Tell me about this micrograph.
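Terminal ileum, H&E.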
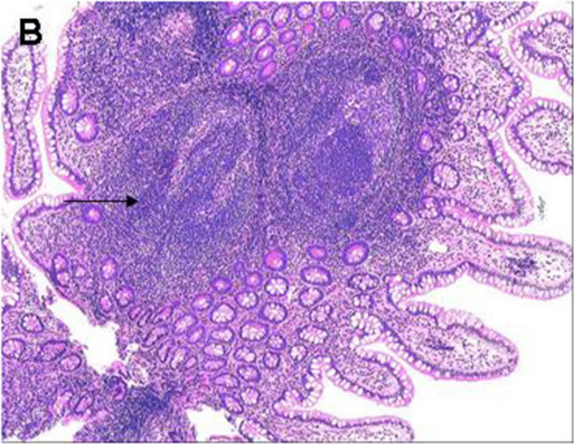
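This section of small intestinal mucosa shows finger-like villi lined by a columnar epithelium, with crypts cut across at their bases. A large, densely cellular aggregate of small round cells with dark nuclei occupies the mucosa and stains deep purple. Within the aggregate lie paler rounded zones, and crypts and villi are pushed to its edges. The stroma of the surrounding villi also holds many small dark nuclei.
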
